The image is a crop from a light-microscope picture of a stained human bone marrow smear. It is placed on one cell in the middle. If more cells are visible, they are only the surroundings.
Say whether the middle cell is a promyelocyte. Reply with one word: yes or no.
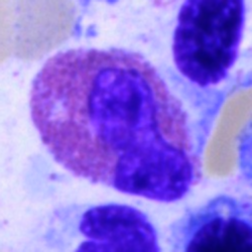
no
